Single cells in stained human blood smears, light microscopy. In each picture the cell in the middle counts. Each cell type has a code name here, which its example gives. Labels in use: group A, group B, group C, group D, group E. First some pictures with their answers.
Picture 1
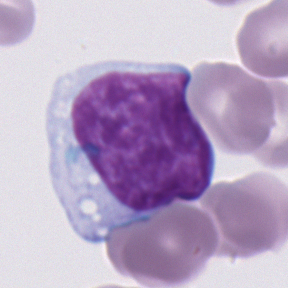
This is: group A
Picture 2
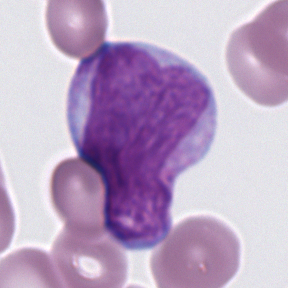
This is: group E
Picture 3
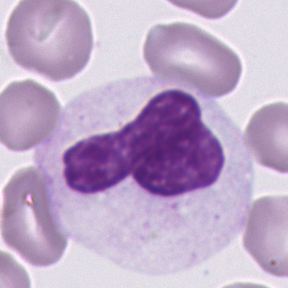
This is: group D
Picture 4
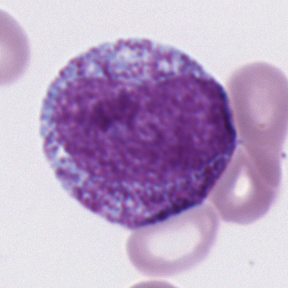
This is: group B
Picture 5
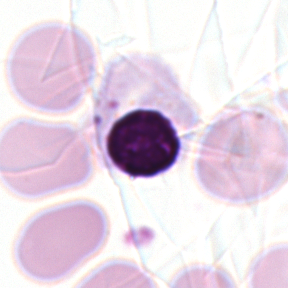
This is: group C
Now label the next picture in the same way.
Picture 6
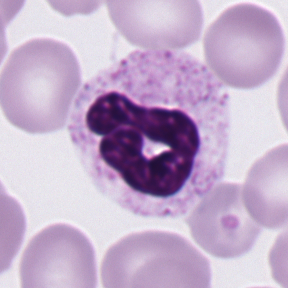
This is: group D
